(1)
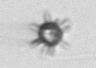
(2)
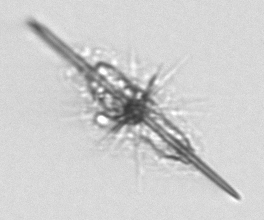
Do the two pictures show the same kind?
No: Rhabdosphaera, then a radiolarian.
